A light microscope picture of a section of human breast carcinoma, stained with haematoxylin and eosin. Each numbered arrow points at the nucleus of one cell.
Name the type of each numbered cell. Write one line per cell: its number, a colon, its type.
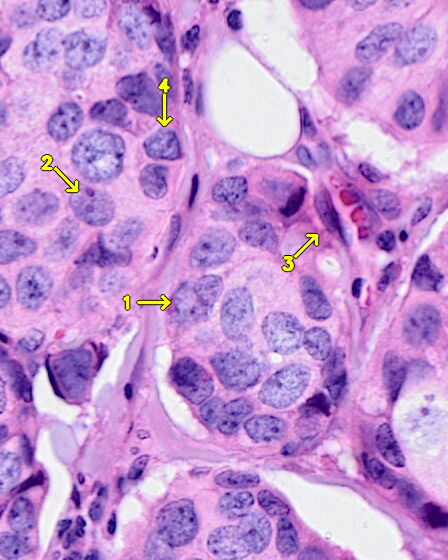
1: carcinoma cell
2: carcinoma cell
3: endothelial cell
4: carcinoma cell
